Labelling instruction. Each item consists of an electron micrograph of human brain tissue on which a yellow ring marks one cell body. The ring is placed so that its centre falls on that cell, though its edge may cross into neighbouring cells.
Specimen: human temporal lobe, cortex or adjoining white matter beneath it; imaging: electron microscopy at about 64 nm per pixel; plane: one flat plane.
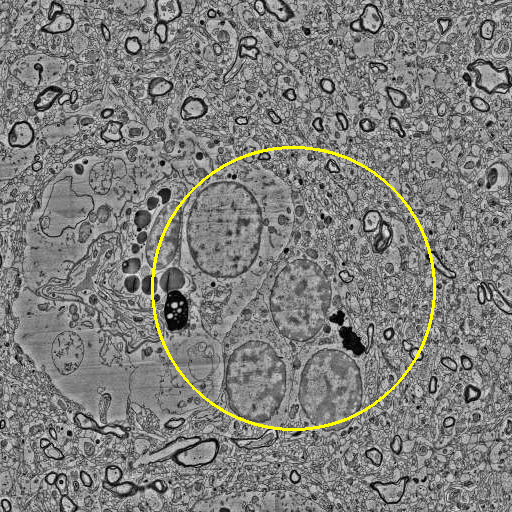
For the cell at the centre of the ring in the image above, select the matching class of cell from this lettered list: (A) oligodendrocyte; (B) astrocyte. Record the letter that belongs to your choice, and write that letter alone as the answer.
A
